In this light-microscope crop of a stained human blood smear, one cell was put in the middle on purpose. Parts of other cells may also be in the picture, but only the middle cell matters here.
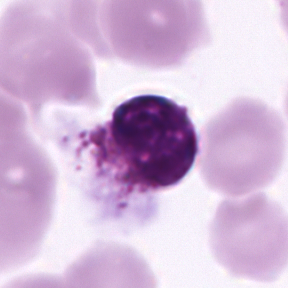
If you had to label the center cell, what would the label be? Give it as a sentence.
The cell at the middle of the frame should be recorded as an eosinophil.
